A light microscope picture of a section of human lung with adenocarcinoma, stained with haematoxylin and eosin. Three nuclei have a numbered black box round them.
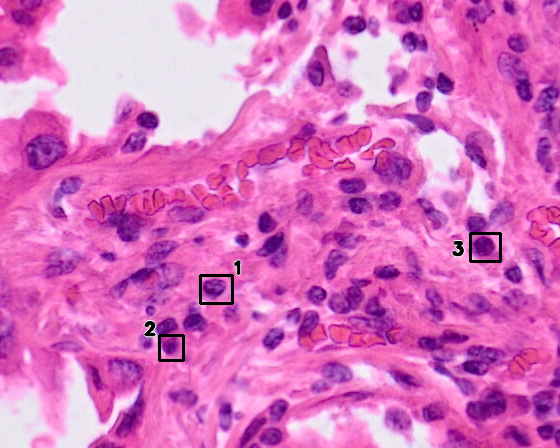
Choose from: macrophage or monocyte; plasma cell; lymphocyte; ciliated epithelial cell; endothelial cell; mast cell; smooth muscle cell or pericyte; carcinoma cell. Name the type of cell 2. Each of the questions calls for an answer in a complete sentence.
Here the cell numbered 2 is a plasma cell.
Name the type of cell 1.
The cell marked with the number 1 is a lymphocyte.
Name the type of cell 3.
The cell that goes by number 3 is a plasma cell.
